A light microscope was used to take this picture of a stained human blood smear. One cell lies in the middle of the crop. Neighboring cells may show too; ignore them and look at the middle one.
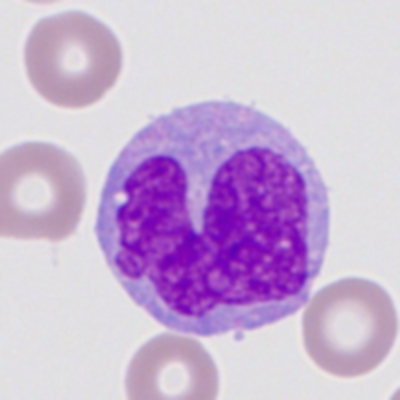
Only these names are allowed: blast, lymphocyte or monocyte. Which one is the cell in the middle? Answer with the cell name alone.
monocyte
